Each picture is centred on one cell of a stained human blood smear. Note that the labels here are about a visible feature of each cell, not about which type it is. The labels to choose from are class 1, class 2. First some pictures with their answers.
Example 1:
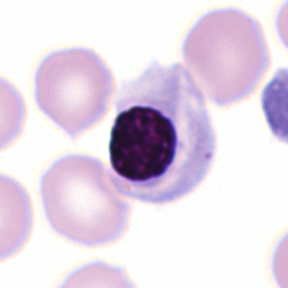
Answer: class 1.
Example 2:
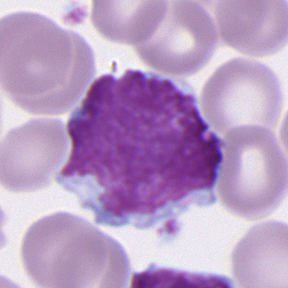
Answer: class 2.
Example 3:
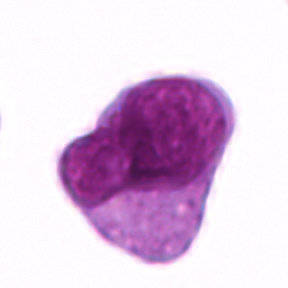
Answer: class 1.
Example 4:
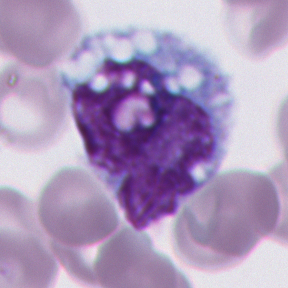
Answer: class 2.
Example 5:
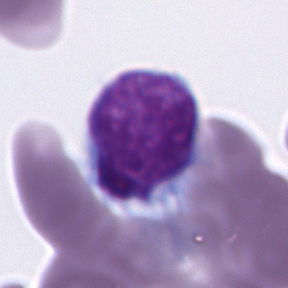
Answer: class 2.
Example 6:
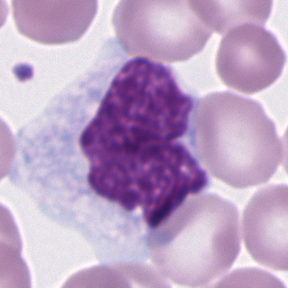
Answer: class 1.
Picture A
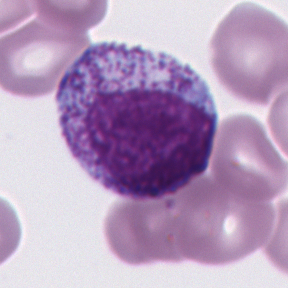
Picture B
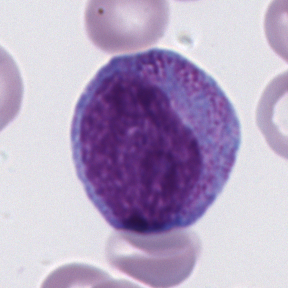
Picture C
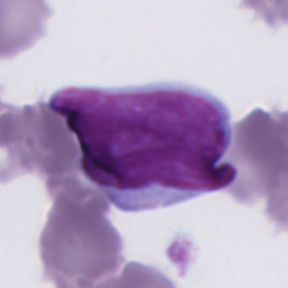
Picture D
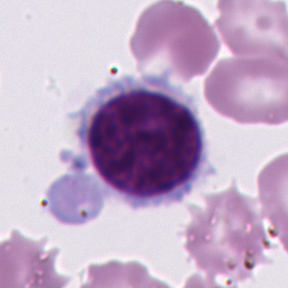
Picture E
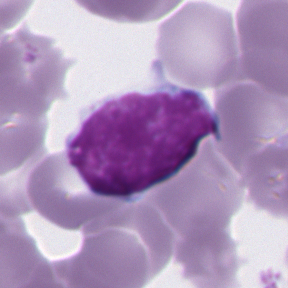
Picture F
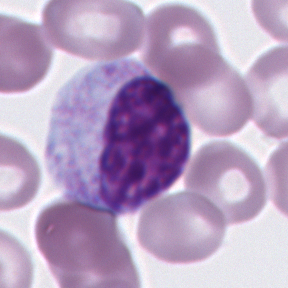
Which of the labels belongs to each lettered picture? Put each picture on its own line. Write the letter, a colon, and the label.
A: class 1.
B: class 2.
C: class 2.
D: class 2.
E: class 2.
F: class 1.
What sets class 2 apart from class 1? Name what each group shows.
class 2, scant cytoplasm; class 1, abundant cytoplasm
